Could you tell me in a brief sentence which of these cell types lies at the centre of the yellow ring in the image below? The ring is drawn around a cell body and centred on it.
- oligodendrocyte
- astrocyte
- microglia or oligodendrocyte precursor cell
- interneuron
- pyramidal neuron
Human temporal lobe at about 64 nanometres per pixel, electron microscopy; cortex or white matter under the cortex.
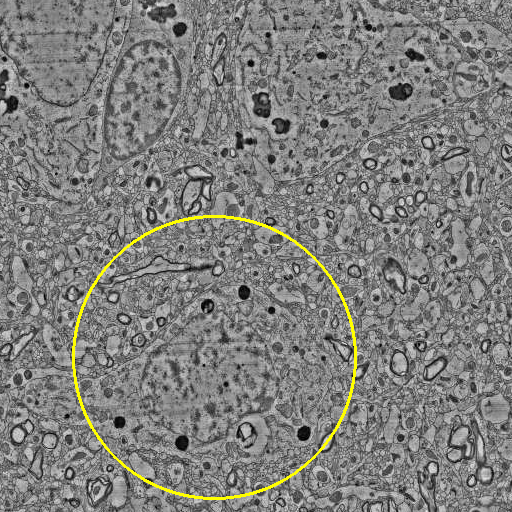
The cell centred in the ring is an interneuron.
